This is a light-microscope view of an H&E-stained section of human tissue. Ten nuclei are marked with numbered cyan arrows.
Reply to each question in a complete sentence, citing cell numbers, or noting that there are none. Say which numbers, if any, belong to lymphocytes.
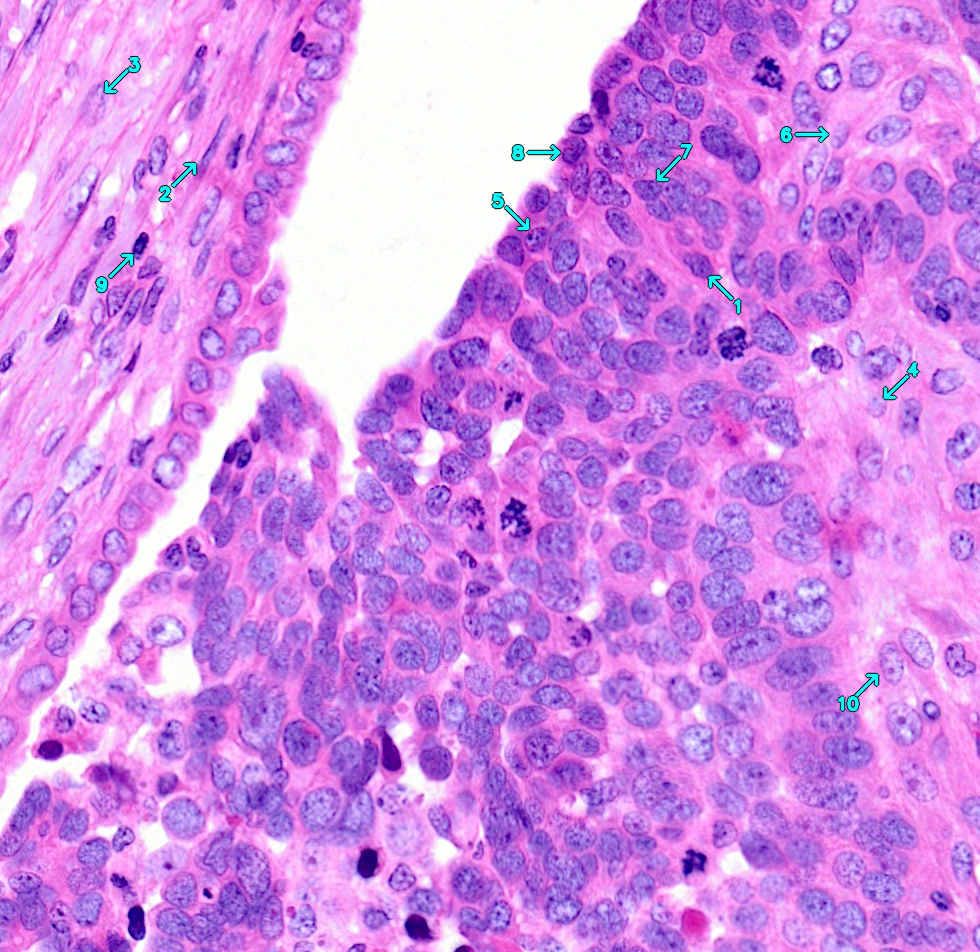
Cell 9 represents a lymphocyte, and no other numbered cell does.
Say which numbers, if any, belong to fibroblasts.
Cells 2, 3, 4, 6 and 10 are fibroblasts by cell type.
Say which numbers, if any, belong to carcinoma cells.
The numbers 1, 7 and 8 refer to cells that are carcinoma cells.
